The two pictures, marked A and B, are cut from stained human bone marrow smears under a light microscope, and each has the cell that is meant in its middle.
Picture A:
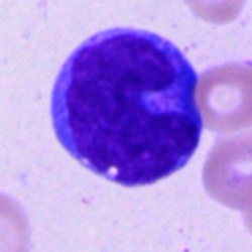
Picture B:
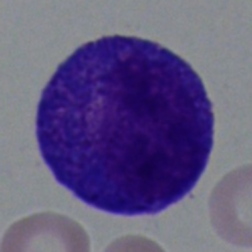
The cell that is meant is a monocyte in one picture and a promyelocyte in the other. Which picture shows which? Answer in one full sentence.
Picture A is of a monocyte, and picture B is of a promyelocyte.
